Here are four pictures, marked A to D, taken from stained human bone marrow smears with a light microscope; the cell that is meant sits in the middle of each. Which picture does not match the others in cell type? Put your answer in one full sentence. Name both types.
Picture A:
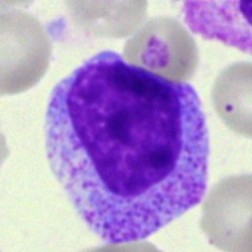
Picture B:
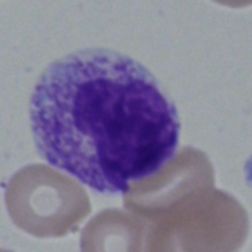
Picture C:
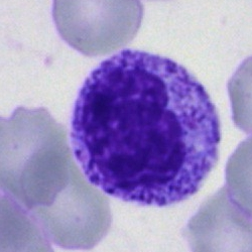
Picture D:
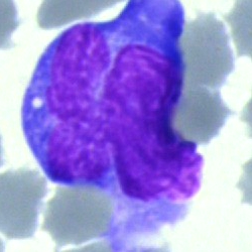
Picture D is the odd one out: it shows a monocyte, while the others show myelocytes.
